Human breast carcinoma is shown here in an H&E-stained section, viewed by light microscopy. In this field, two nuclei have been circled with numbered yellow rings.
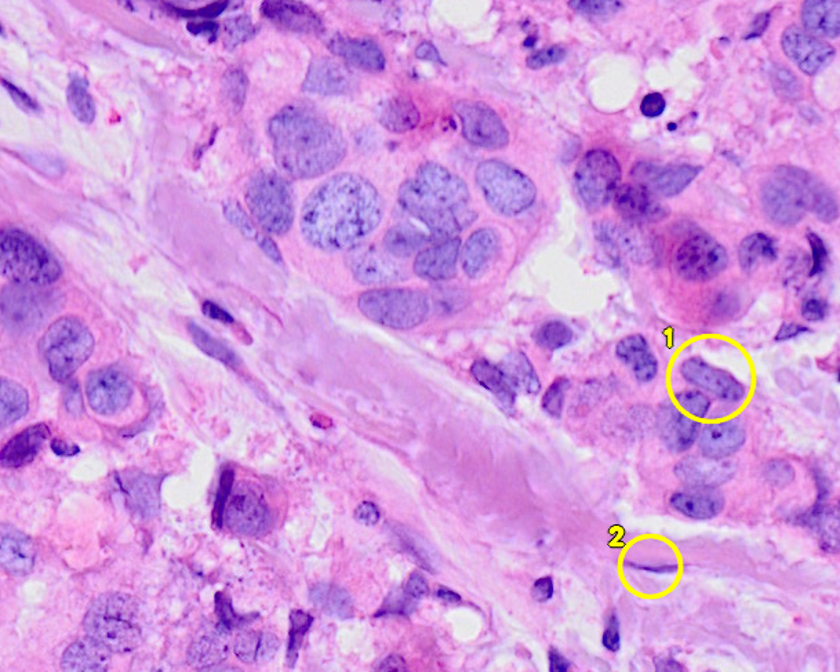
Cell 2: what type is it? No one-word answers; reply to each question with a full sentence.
The cell bearing label 2 corresponds to a fibroblast.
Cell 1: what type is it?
The nucleus marked 1 is the nucleus of a carcinoma cell.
